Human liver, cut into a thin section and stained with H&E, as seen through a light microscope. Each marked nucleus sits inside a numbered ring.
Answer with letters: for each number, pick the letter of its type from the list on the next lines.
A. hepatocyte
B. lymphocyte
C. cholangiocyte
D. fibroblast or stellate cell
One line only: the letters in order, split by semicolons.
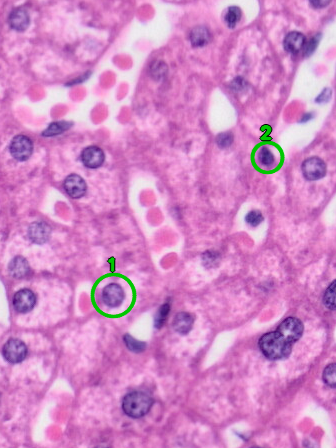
A; D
